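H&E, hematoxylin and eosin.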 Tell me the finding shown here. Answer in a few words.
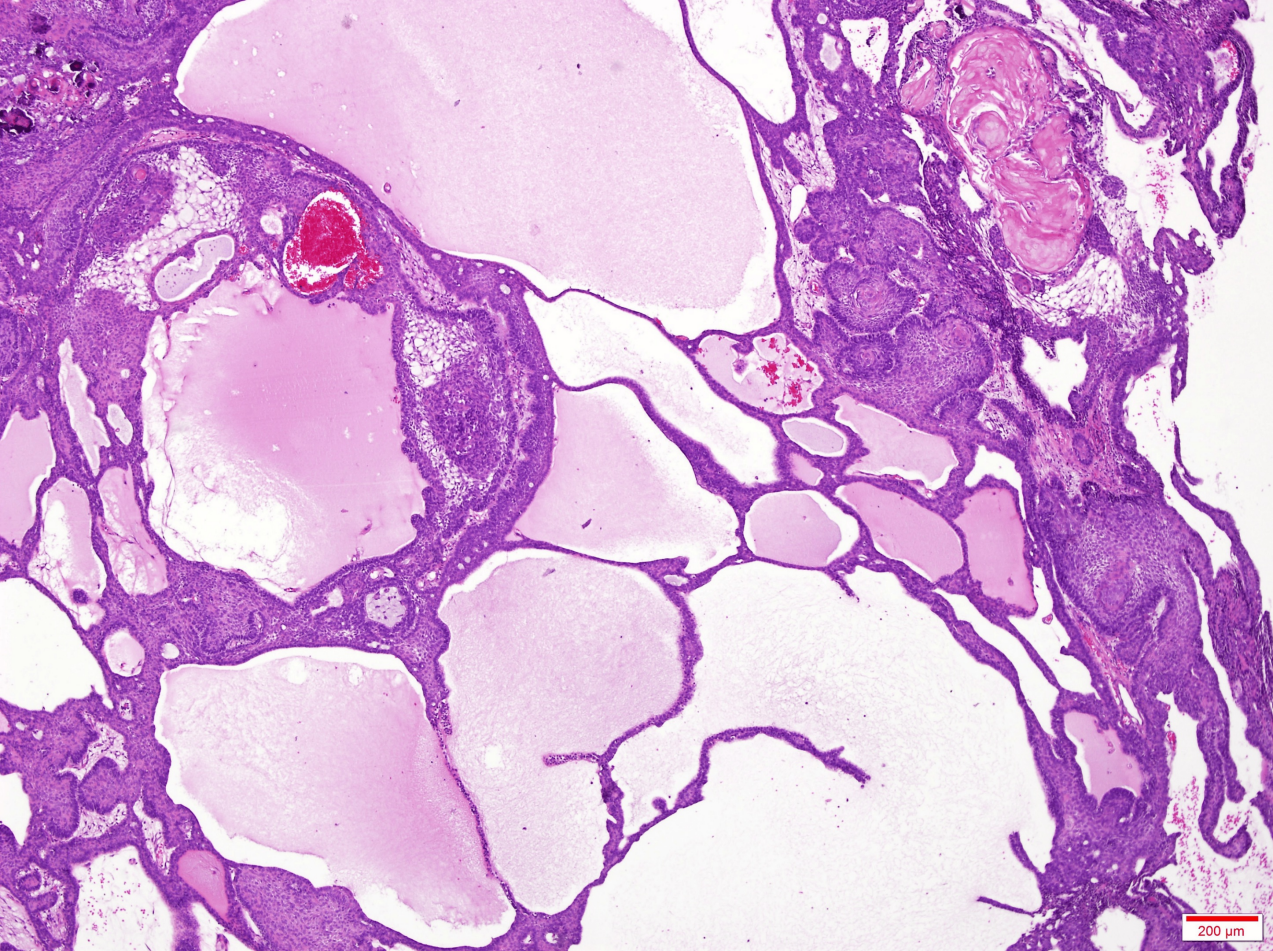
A: Cysts filled with a proteinaceous material.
